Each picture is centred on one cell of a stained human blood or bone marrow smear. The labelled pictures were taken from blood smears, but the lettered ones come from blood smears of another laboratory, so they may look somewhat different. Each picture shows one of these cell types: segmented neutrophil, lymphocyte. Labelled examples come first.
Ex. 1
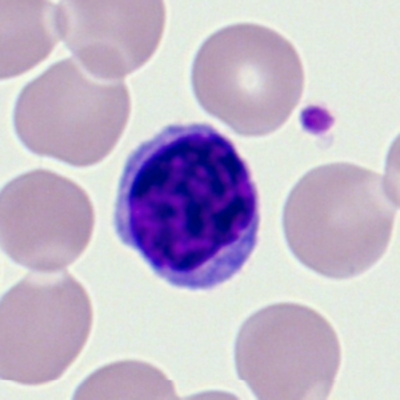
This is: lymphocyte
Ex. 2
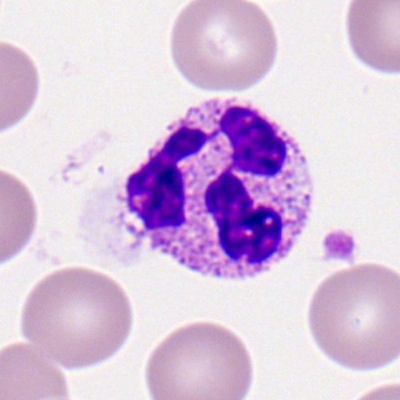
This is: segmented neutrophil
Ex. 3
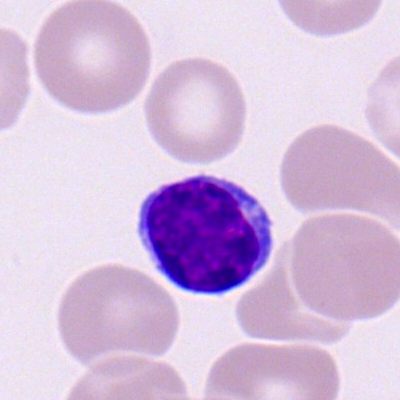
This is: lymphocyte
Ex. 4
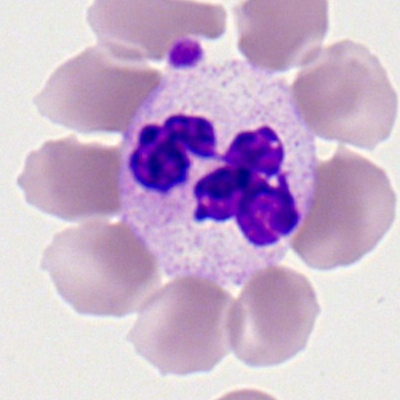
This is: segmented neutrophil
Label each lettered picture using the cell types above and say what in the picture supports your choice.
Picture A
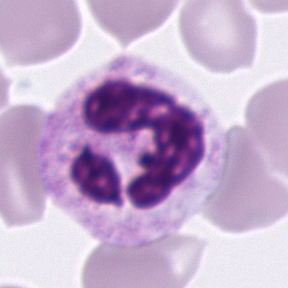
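segmented neutrophil. The smaller nuclear piece lies at the lower left of the cell.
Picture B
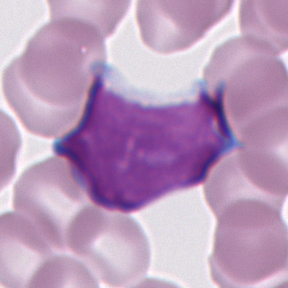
lymphocyte. The cytoplasm is scant and pale greyish-blue, seen mainly as a narrow band along the top edge.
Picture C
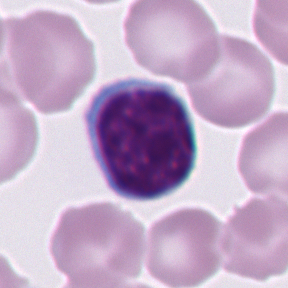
lymphocyte. The cytoplasm forms only a thin rim around the nucleus.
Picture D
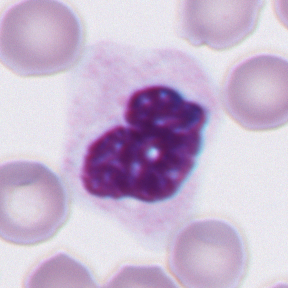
segmented neutrophil. The cytoplasm is very pale with a faint pink tinge.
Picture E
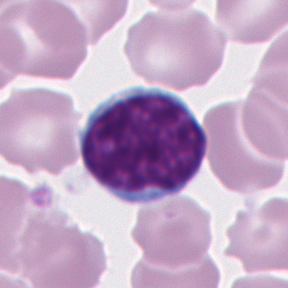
lymphocyte. The nucleus fills almost the whole cell.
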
